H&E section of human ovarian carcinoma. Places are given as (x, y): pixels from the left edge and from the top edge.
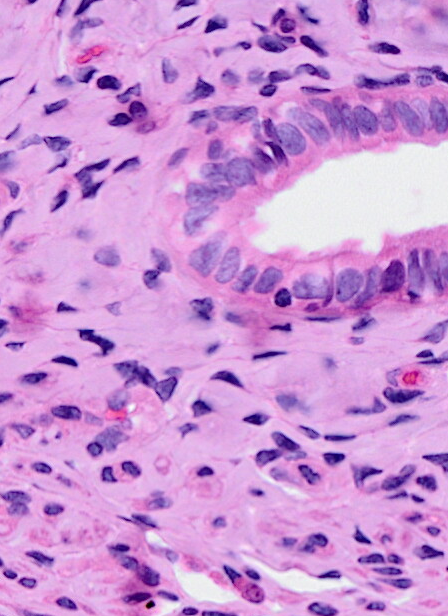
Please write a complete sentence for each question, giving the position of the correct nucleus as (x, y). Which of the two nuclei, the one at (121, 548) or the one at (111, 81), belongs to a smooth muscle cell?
The nucleus located at (121, 548) is the one held within a smooth muscle cell.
